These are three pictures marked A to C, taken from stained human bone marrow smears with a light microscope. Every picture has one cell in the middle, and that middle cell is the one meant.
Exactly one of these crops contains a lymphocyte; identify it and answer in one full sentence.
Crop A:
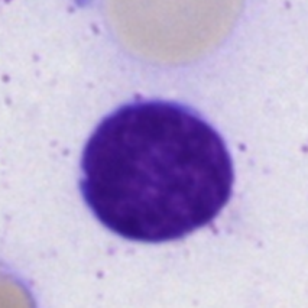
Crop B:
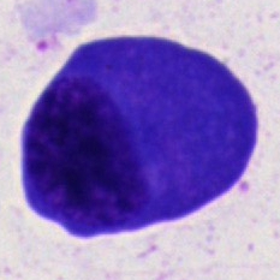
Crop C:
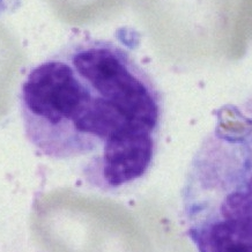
The cell at the center of crop A is the one that is a lymphocyte.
